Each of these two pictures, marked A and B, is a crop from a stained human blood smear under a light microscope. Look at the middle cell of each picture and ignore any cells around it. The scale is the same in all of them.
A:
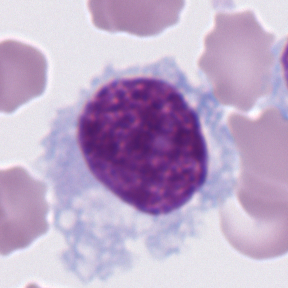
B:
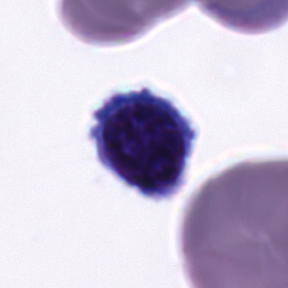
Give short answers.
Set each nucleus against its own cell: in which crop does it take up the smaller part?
A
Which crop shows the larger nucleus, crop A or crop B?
A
